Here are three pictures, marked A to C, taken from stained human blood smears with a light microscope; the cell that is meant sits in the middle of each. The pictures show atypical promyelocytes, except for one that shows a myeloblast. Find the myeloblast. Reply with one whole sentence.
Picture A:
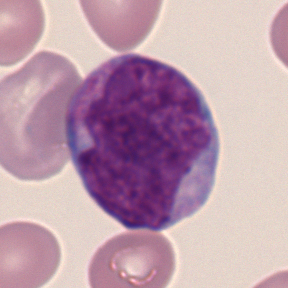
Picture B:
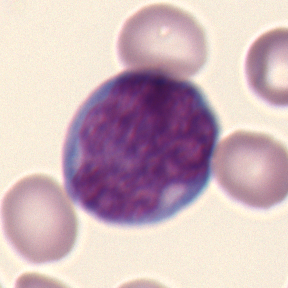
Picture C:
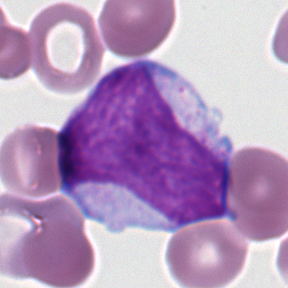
Picture B is the one that shows the myeloblast.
